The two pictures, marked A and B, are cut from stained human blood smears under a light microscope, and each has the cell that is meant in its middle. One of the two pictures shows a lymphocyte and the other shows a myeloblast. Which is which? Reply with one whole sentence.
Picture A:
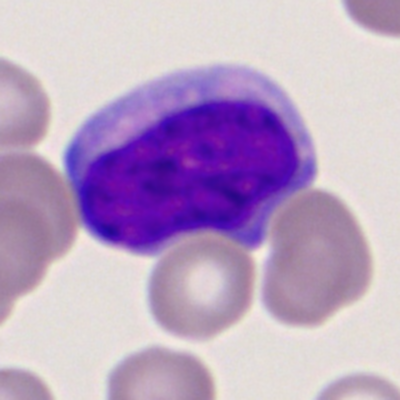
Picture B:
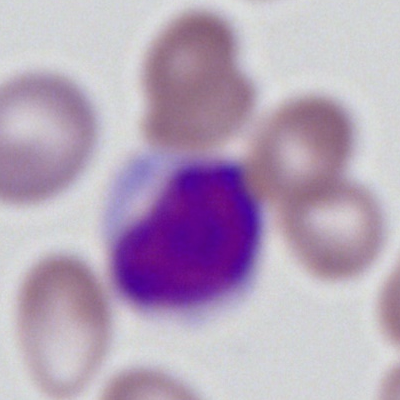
The cell in picture A is a myeloblast, and the one in picture B is a lymphocyte.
